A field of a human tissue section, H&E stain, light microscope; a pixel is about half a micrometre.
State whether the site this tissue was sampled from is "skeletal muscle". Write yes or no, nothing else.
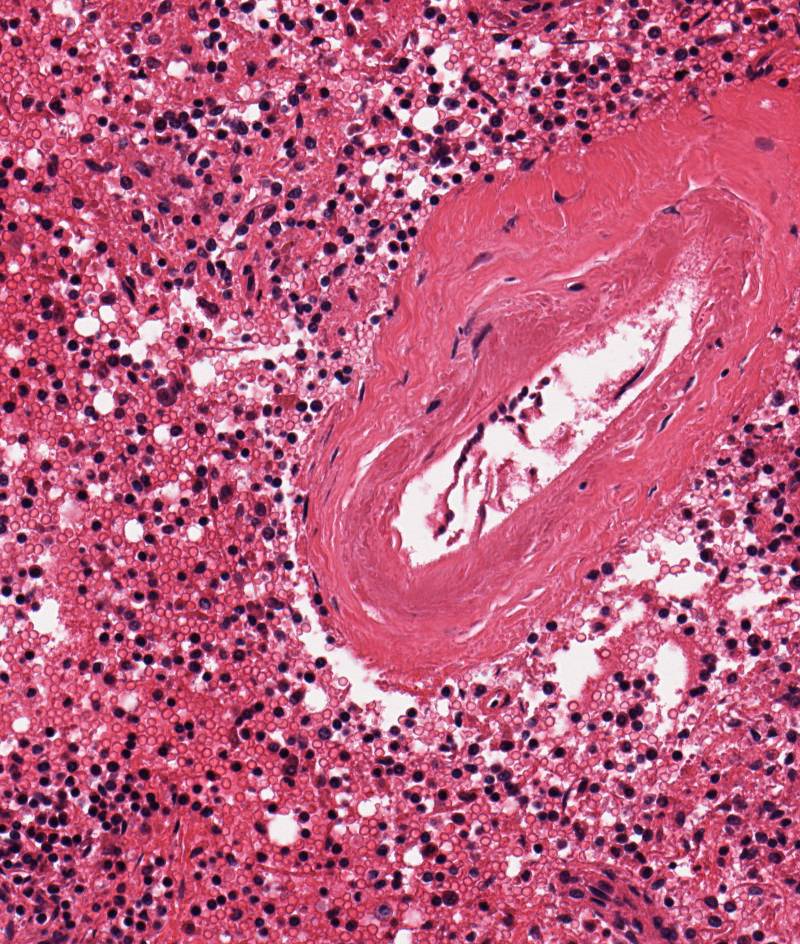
no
